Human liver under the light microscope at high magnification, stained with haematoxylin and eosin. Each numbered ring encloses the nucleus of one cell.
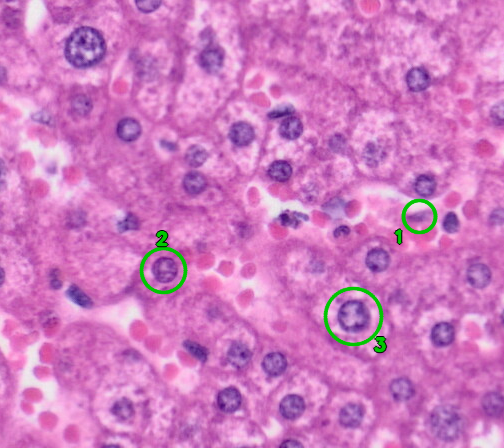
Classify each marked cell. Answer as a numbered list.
1. Kupffer cell
2. hepatocyte
3. hepatocyte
